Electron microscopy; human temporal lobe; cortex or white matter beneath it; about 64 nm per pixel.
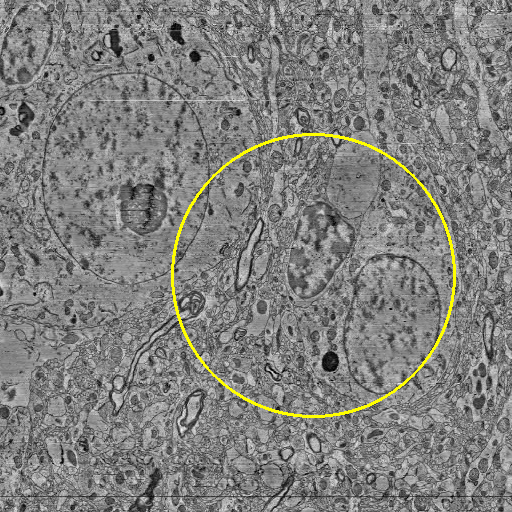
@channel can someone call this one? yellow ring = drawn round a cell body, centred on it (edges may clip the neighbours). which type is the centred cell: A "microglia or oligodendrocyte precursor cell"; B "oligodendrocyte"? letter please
A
